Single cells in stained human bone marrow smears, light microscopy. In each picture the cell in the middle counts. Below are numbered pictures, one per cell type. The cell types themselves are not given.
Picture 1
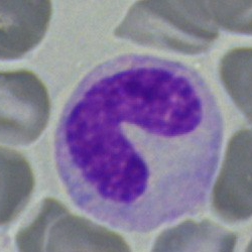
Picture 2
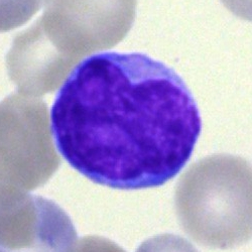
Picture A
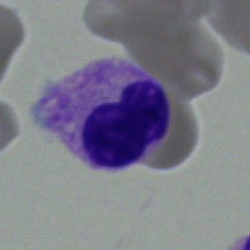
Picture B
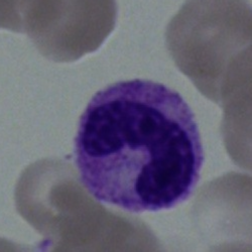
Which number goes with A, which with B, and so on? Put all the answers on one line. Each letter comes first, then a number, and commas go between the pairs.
A 1, B 1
